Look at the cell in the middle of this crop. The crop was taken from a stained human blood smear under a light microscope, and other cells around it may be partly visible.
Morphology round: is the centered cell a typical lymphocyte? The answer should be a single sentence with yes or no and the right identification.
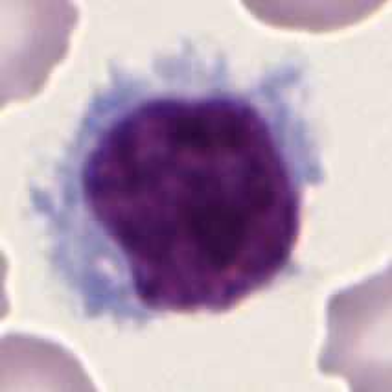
No, the central cell should be identified as a hairy cell, not as a typical lymphocyte.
